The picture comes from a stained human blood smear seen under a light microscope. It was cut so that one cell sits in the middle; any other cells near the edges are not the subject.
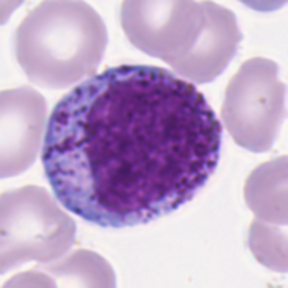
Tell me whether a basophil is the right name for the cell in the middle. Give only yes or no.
no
